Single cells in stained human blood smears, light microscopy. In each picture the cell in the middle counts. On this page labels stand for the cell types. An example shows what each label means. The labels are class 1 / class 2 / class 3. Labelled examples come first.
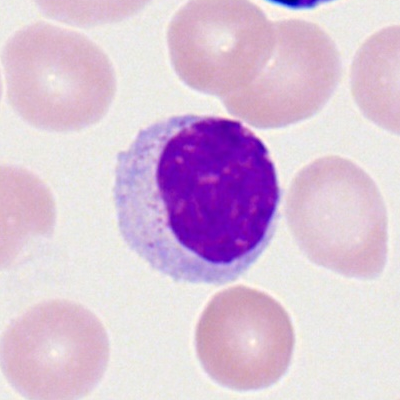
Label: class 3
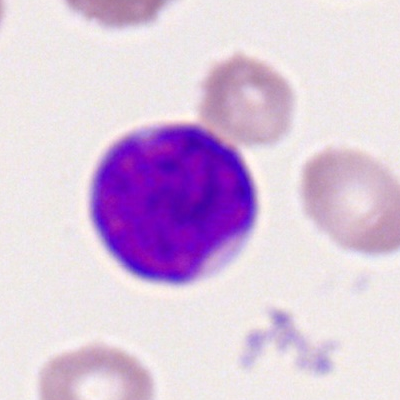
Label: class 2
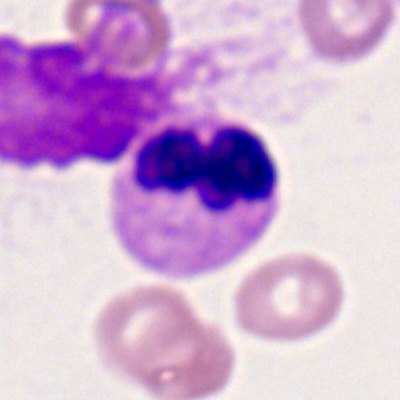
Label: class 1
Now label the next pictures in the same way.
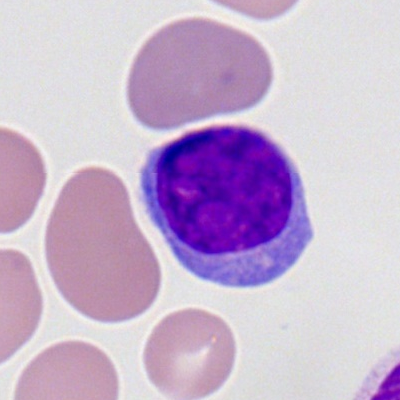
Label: class 3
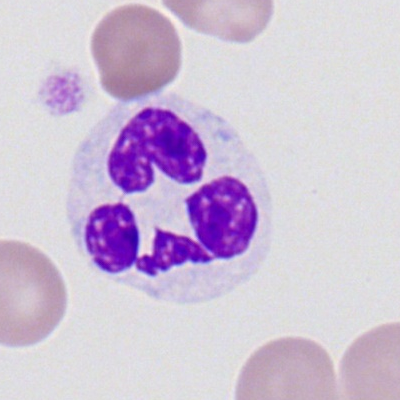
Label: class 1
